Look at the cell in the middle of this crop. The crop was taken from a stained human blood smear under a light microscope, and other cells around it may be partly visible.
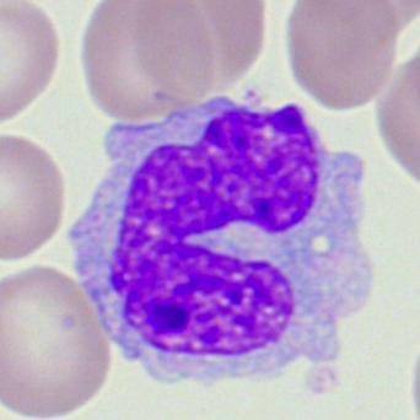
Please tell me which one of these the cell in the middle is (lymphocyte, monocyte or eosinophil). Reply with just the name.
monocyte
